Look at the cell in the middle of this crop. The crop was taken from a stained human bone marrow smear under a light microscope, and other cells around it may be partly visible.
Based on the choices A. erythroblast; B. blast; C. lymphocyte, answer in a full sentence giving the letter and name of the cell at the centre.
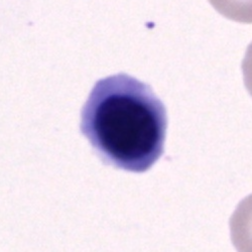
The correct option, A, names the middle cell as an erythroblast.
